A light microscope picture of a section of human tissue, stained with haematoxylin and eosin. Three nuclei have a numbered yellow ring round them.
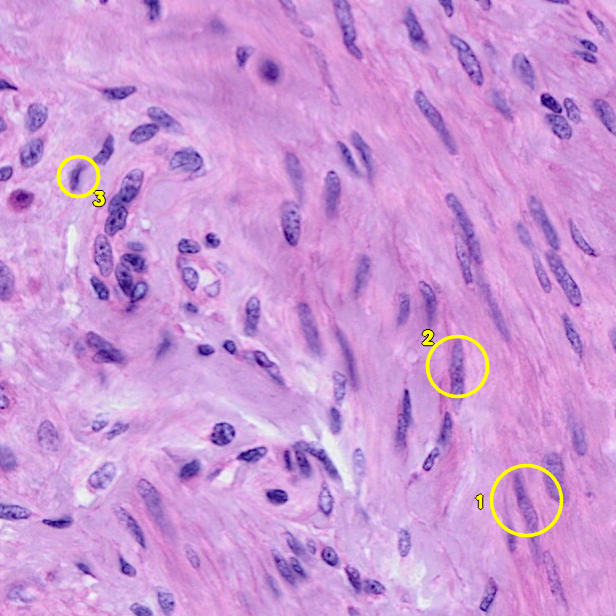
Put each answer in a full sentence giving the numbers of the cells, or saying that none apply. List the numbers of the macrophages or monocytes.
No numbered cell here qualifies as one of the macrophages or monocytes.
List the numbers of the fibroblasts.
Cell number 3 alone is a fibroblast; the rest are not.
